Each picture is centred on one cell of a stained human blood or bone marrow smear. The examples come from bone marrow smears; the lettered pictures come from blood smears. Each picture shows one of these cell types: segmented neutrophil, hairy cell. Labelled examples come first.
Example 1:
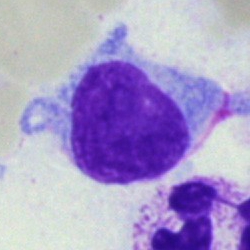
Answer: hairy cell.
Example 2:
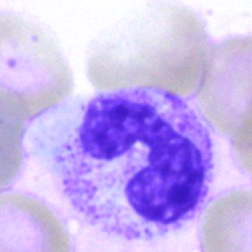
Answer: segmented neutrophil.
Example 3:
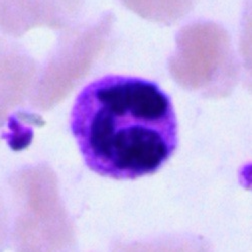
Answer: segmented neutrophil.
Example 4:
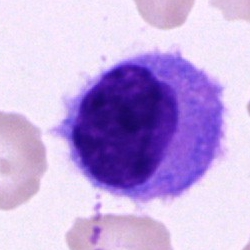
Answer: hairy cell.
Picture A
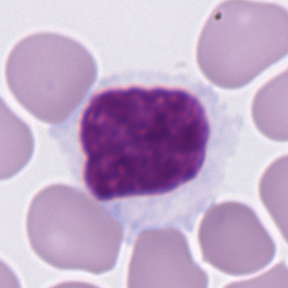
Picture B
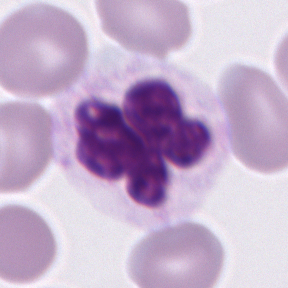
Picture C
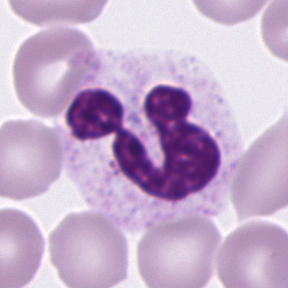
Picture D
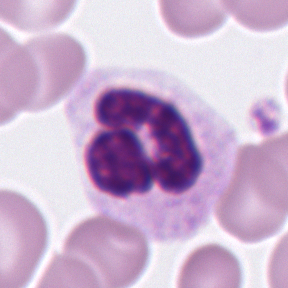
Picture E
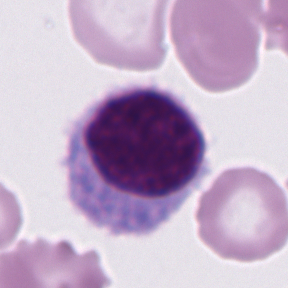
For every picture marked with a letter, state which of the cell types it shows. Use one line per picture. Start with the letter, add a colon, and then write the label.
A: hairy cell.
B: segmented neutrophil.
C: segmented neutrophil.
D: segmented neutrophil.
E: hairy cell.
